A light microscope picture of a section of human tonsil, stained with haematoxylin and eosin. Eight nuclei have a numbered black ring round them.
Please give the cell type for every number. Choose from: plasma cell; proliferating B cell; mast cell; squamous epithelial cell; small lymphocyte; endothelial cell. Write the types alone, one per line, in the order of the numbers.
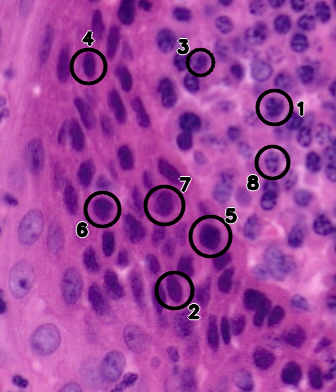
plasma cell
squamous epithelial cell
plasma cell
squamous epithelial cell
squamous epithelial cell
squamous epithelial cell
squamous epithelial cell
plasma cell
